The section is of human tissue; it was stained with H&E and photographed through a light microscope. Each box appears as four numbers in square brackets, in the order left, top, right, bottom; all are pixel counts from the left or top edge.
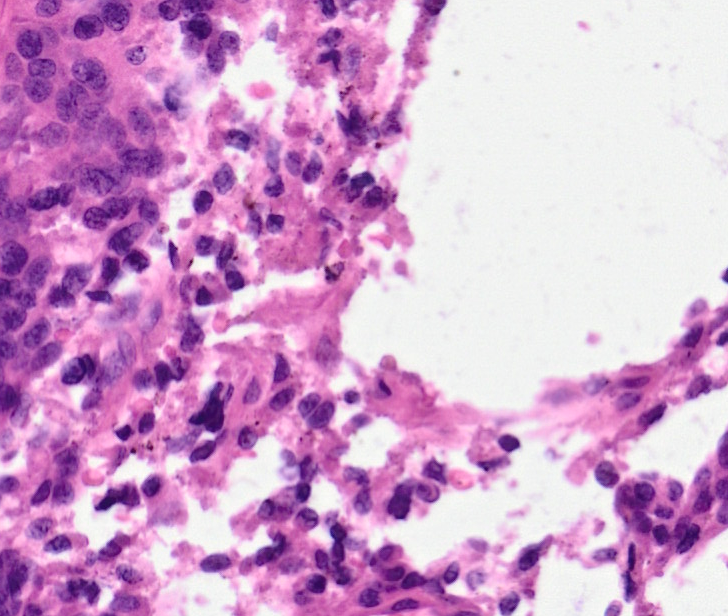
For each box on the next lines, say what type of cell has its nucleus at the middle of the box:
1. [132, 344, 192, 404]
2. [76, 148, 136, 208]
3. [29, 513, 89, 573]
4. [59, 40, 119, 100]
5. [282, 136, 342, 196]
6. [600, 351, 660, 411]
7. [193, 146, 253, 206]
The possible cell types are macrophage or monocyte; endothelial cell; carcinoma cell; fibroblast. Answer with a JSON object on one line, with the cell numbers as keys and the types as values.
{"1": "carcinoma cell", "2": "carcinoma cell", "3": "macrophage or monocyte", "4": "carcinoma cell", "5": "macrophage or monocyte", "6": "endothelial cell", "7": "macrophage or monocyte"}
